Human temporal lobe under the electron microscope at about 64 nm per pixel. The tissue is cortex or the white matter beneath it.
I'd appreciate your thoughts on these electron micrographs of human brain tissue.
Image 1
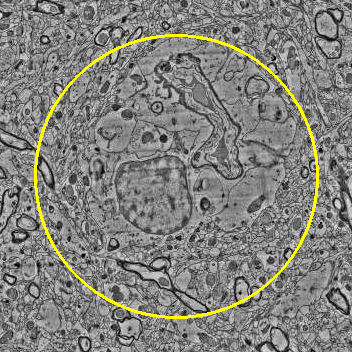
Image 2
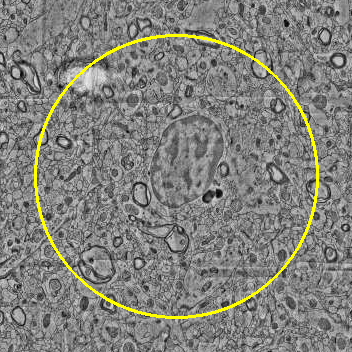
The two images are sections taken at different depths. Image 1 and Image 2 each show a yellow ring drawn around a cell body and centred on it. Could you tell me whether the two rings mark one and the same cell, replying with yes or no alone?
no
